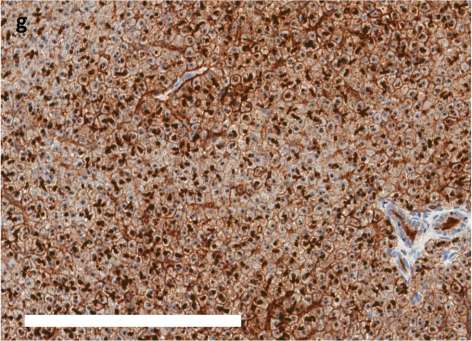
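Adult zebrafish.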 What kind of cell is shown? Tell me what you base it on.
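Sheets of closely packed polygonal cells with round central nuclei. Brown-stained cytoplasm throughout, with only a few small vessels between the cells. The answer: hepatocytes.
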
